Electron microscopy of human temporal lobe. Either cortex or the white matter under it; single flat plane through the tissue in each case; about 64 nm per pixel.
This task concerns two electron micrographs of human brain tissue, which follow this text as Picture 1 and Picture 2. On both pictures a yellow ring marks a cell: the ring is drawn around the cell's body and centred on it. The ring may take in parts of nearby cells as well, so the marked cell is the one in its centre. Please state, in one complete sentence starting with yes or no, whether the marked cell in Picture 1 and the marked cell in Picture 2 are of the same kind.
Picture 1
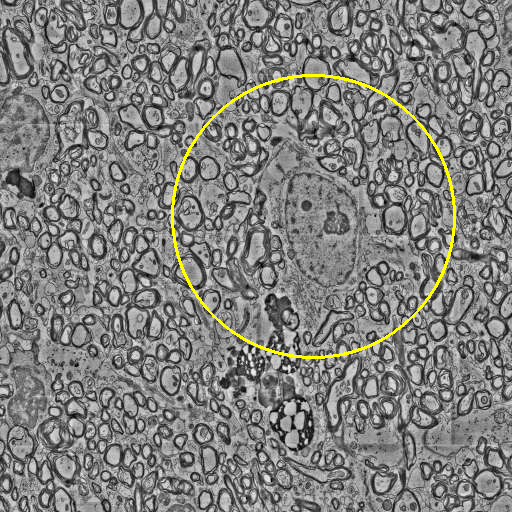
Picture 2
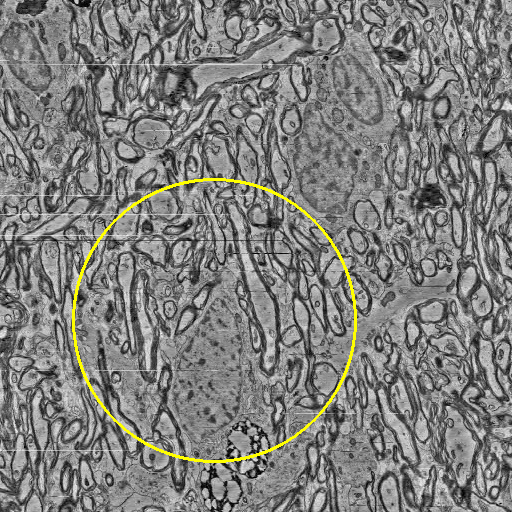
Yes, the marked cells in both pictures are of the same kind.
